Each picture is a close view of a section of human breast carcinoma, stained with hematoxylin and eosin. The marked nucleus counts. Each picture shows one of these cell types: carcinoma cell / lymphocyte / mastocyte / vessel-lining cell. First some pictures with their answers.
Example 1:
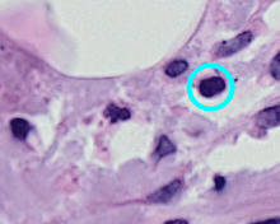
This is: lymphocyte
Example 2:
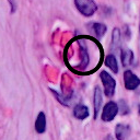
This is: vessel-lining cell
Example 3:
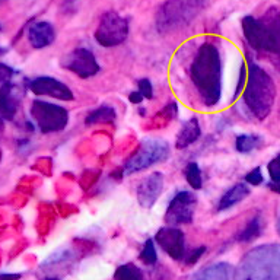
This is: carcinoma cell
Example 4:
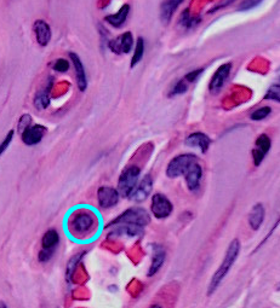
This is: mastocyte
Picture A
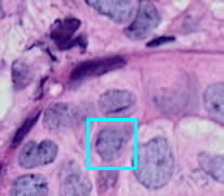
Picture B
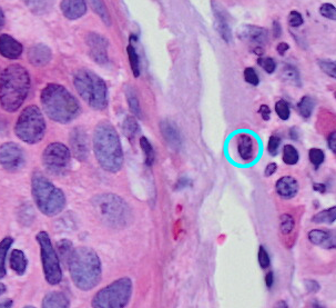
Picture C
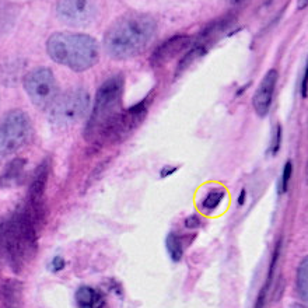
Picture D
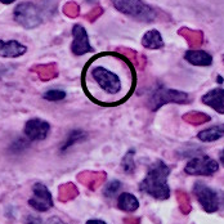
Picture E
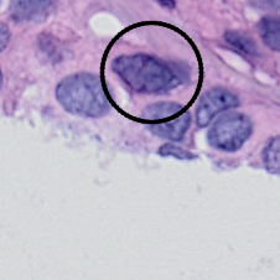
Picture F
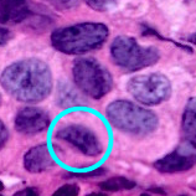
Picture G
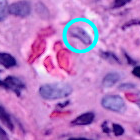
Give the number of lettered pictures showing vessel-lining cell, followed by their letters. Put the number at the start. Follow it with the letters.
1: G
